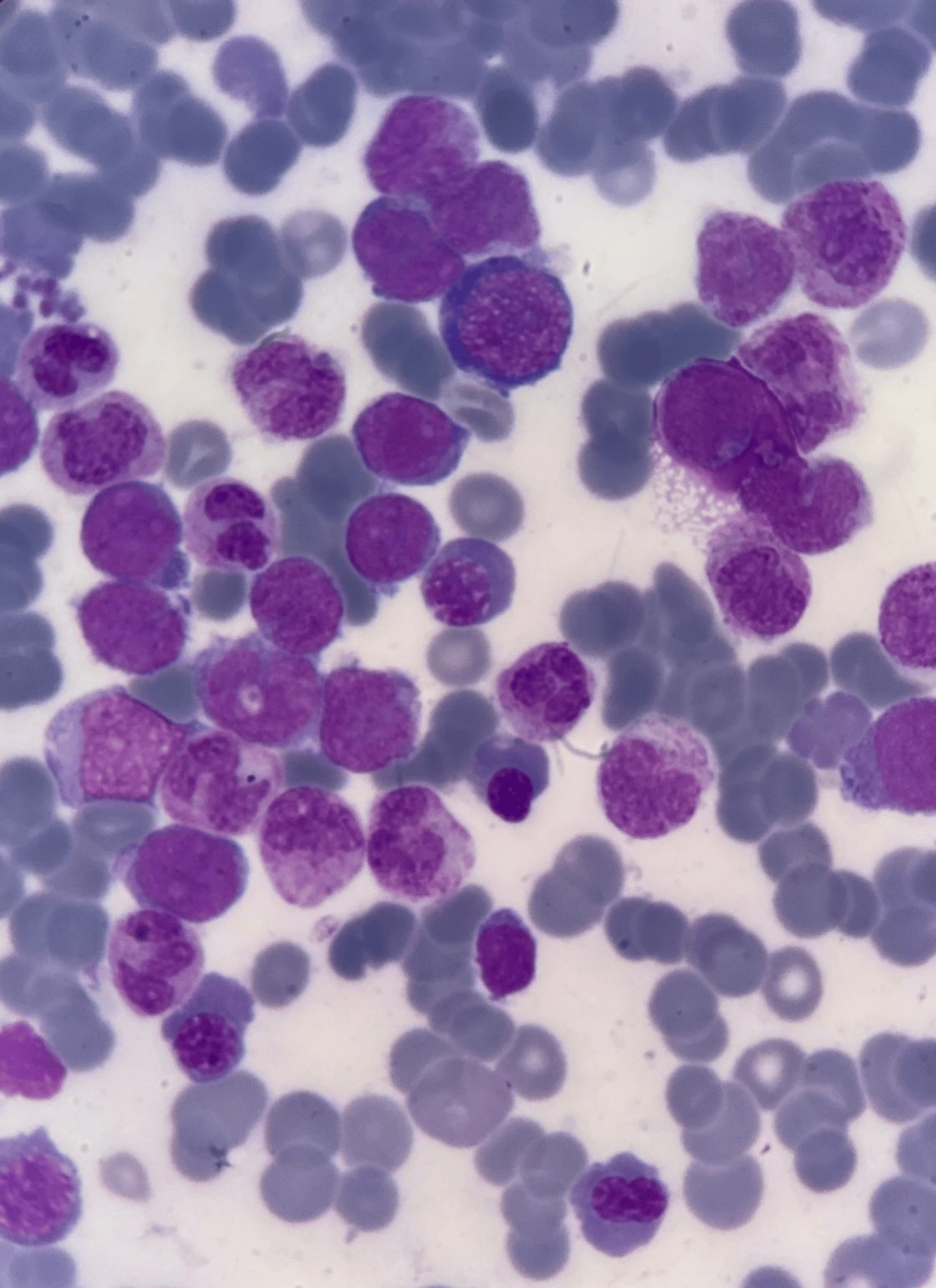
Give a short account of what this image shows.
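This bone marrow smear is crowded with blast cells. These are large, rounded cells whose nuclei are mostly round to oval and stain purple, with fine, delicate chromatin. Around each nucleus there is a rim of pale bluish-lilac cytoplasm, and in some cells that rim holds fine granules. Scattered among the blasts are a few cells with indented or segmented nuclei and clumped chromatin, which are more mature granulocytes. There is also a small cell with a dense, dark, round nucleus. The background is packed with pale grey-violet red blood cells, many of them overlapping.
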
